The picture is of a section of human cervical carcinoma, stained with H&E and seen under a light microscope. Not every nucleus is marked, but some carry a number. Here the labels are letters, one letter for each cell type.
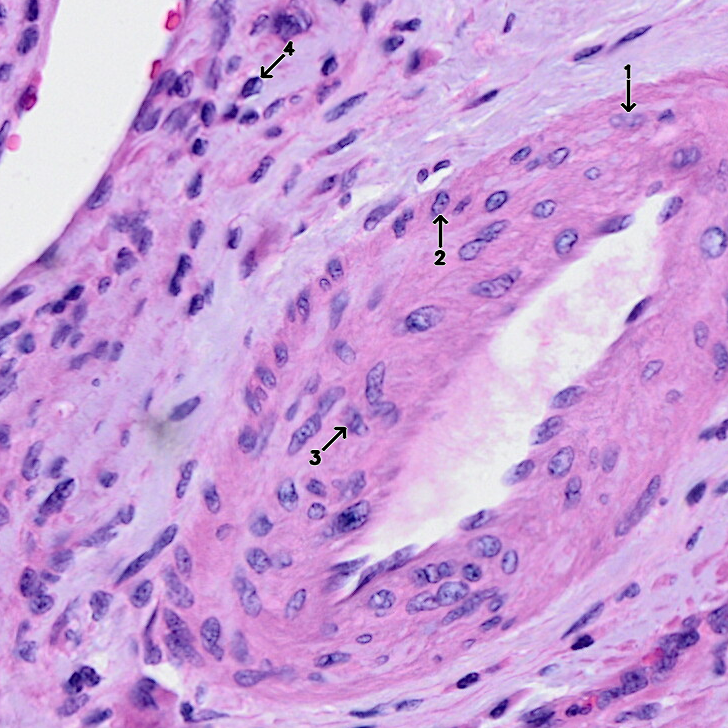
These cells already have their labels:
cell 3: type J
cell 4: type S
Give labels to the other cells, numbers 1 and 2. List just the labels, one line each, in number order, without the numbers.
type J
type J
